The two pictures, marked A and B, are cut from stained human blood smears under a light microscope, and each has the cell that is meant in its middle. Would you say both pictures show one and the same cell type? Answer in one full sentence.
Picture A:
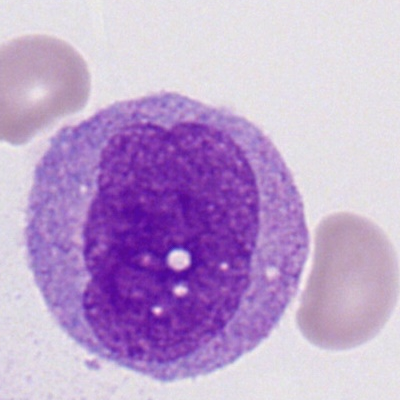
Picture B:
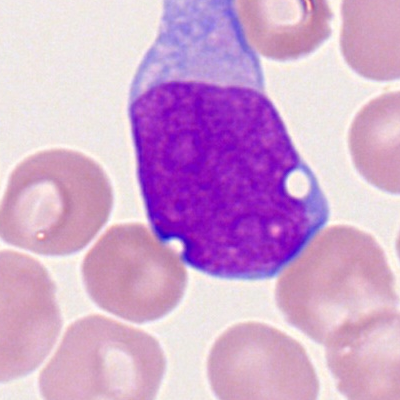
Yes, both are myeloblasts.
